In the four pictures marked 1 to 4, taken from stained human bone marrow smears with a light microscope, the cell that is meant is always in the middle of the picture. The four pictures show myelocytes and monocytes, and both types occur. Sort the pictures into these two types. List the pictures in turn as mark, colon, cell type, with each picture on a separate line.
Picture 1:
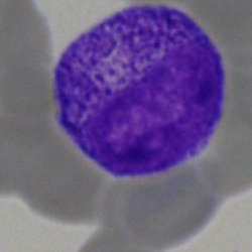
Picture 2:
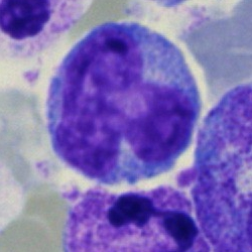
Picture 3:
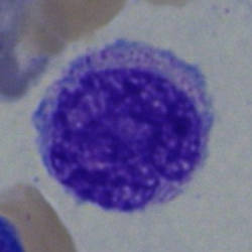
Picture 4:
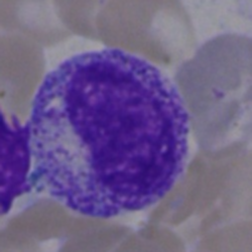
1: myelocyte
2: monocyte
3: myelocyte
4: myelocyte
